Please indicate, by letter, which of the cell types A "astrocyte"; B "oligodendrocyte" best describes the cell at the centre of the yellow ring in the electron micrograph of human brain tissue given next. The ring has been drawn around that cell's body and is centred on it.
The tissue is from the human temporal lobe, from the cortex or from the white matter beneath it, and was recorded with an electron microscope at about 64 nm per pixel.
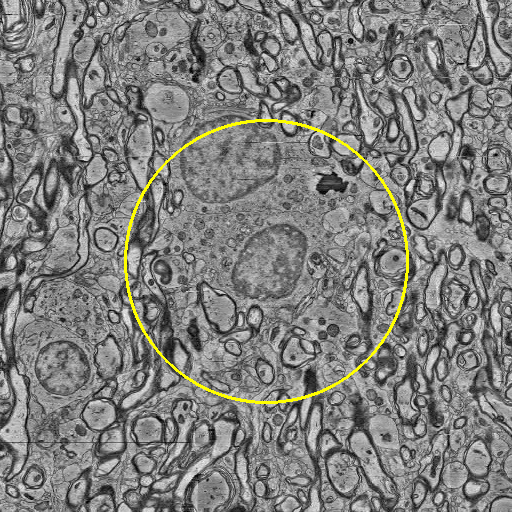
B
